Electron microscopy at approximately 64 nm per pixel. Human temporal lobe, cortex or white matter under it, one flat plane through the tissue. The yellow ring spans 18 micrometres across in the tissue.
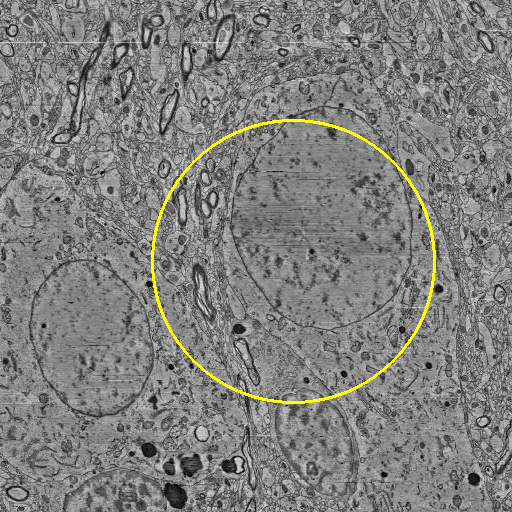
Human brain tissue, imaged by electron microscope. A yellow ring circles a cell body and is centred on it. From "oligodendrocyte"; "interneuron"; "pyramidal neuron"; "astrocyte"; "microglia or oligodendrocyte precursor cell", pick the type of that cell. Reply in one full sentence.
The cell body at the centre of the yellow ring belongs to a pyramidal neuron.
